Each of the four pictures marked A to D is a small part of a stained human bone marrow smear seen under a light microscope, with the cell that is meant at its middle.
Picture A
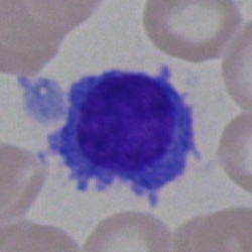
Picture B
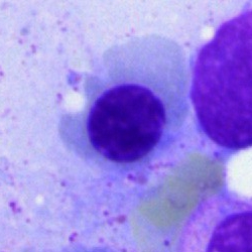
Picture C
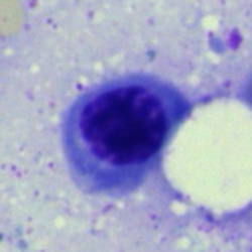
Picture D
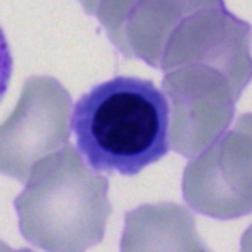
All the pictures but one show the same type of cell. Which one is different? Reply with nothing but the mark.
A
